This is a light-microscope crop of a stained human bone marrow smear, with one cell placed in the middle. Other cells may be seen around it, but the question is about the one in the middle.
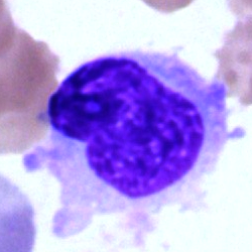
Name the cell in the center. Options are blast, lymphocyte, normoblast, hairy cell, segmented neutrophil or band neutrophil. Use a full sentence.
The cell in the middle of this crop is a hairy cell.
